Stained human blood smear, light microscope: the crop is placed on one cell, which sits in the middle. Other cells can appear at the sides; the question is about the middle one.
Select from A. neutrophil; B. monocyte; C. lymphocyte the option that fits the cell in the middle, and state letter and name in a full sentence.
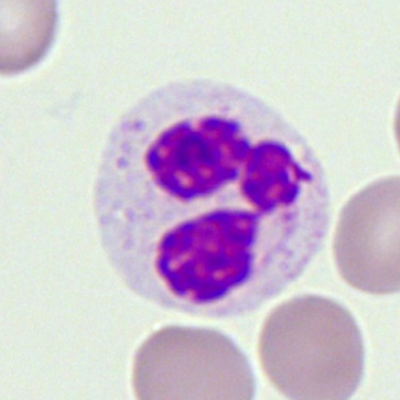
It is a neutrophil that occupies the centre of the crop, so option A is correct.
